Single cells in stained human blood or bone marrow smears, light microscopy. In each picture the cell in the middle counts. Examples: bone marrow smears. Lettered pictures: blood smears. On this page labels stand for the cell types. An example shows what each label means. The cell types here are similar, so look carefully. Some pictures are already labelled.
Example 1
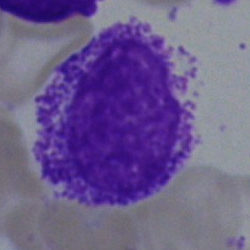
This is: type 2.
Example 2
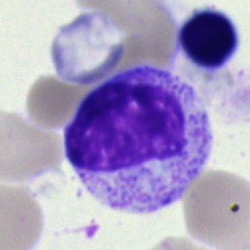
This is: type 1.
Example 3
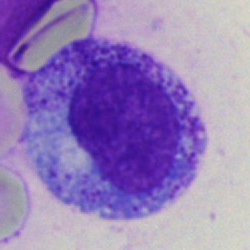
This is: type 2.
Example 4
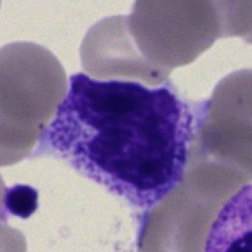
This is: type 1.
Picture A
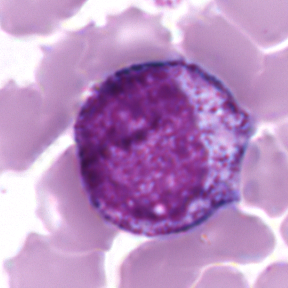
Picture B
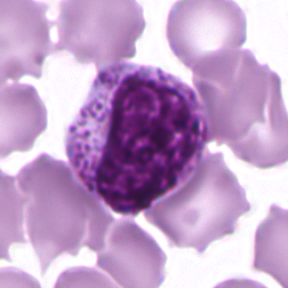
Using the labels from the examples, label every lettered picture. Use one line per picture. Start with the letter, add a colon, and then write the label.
A: type 2.
B: type 1.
